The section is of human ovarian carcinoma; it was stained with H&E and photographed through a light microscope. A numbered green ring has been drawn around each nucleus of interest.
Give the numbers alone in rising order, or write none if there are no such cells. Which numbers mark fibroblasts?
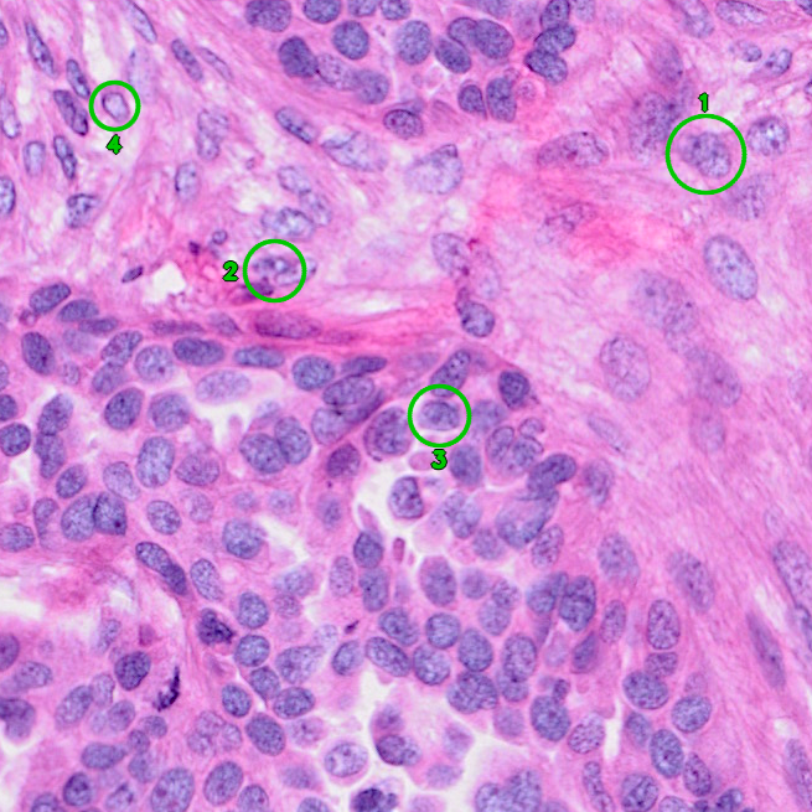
1, 2, 4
